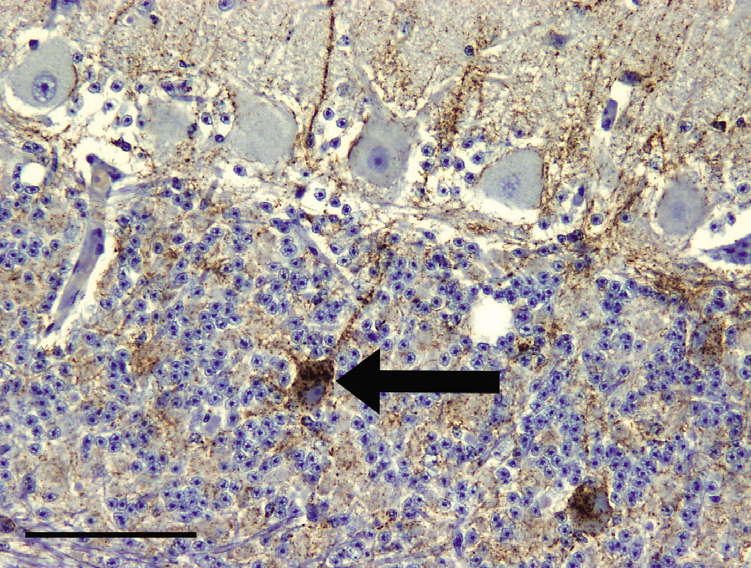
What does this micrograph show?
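This is cerebellar cortex, with the molecular layer at the top, a row of large neuron cell bodies below it, and the granular layer beneath. The large neurons have abundant pale blue cytoplasm and round nuclei with prominent nucleoli. The granular layer is crowded with small round, dark blue nuclei. Fine granular and linear brown deposits are scattered through both the molecular and granular layers. A larger cell in the granular layer has cytoplasm packed with dark brown deposits, and a similar brown-laden cell lies near the lower edge.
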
